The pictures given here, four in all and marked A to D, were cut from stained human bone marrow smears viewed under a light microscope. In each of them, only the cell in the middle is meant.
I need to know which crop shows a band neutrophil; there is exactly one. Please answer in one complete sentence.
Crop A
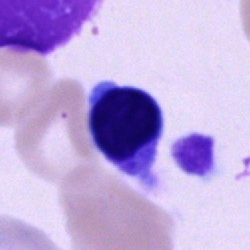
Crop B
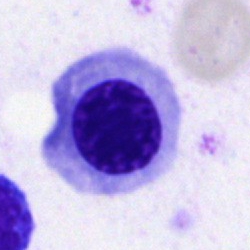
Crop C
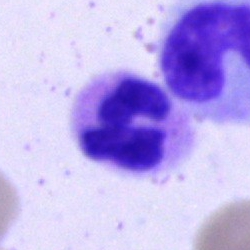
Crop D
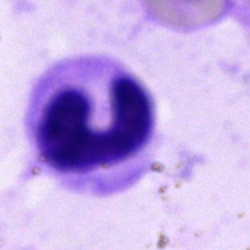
Crop D, of the crops presented, is the one showing a band neutrophil.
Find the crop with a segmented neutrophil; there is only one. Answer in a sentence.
It is in crop C, among all the crops, that a segmented neutrophil is present.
